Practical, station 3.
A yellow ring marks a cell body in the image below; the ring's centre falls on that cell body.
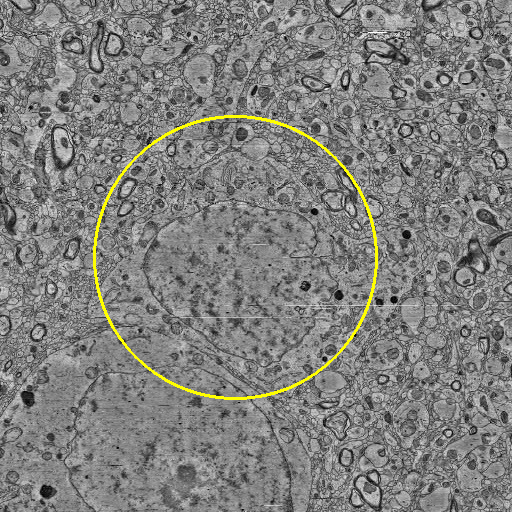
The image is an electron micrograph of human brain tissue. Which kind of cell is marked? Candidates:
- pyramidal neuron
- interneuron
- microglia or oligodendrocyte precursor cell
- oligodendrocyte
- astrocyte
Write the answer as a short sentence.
The marked cell body is that of an interneuron.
